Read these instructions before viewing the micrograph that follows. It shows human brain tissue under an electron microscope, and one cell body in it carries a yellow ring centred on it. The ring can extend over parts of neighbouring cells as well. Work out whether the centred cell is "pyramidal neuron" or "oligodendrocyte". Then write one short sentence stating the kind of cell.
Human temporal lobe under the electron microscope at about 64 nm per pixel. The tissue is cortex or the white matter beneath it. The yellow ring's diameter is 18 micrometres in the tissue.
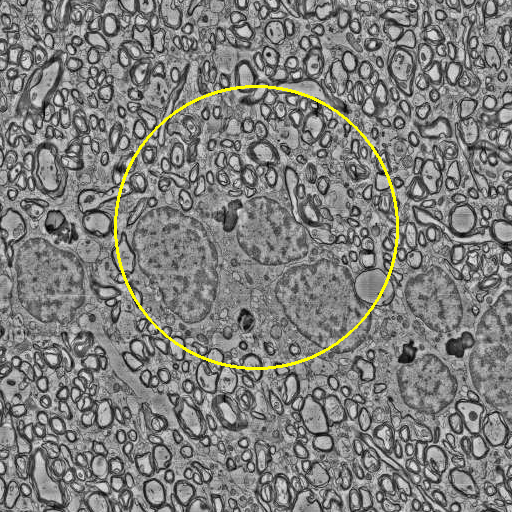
The ringed cell is an oligodendrocyte.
